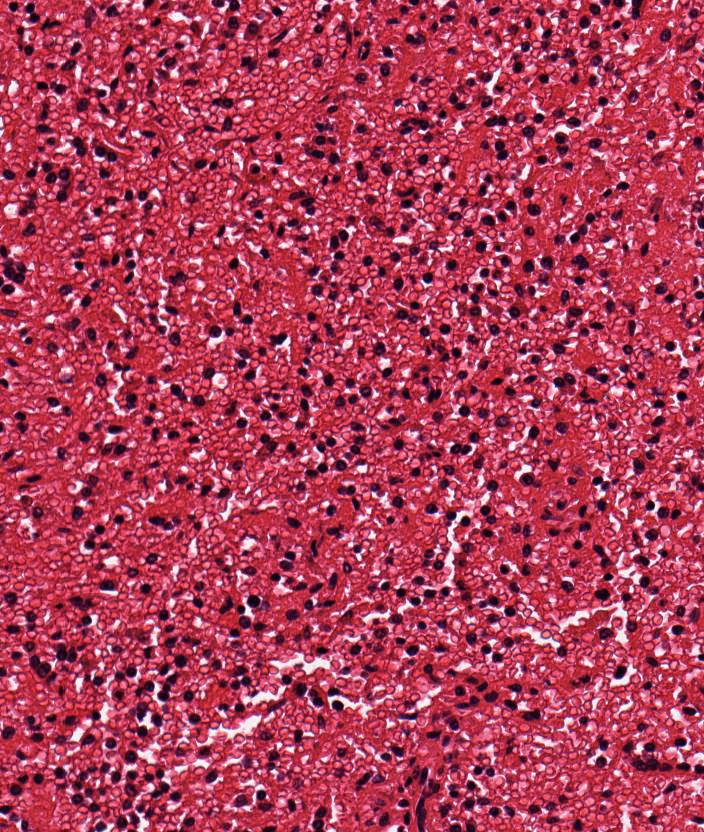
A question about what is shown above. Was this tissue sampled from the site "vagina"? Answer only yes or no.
no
